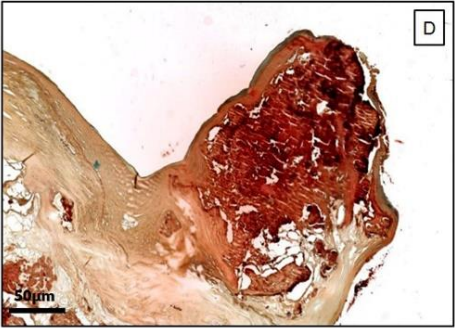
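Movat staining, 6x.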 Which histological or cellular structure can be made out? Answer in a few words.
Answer: Calcific nodule.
